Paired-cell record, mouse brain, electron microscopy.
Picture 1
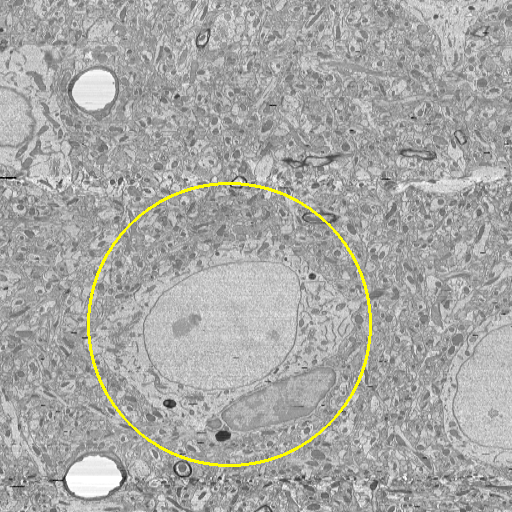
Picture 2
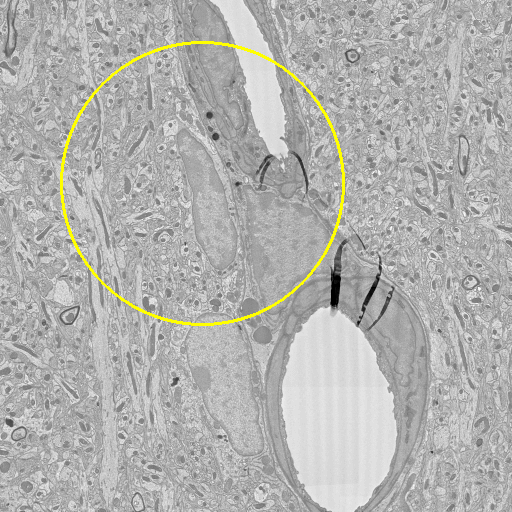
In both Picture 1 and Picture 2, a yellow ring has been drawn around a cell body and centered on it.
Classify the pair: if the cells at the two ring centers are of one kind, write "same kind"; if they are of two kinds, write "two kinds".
two kinds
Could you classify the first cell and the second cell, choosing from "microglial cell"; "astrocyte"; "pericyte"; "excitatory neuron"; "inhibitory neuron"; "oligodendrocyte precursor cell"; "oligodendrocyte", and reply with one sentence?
The second cell is a microglial cell, while the first is an excitatory neuron.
